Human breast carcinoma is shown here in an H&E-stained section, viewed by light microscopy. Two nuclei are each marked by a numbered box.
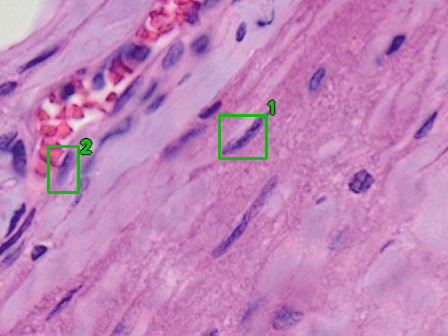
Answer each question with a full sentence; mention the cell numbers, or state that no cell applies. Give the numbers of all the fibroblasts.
Only the cell marked 1 is a fibroblast.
